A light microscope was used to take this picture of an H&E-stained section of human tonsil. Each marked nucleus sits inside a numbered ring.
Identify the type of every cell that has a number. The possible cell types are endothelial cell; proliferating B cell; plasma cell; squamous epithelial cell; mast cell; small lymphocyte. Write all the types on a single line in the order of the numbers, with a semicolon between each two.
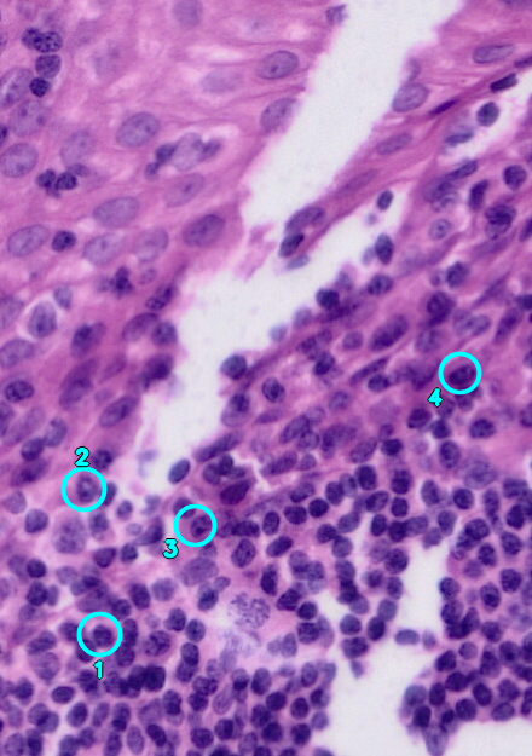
small lymphocyte; plasma cell; plasma cell; plasma cell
